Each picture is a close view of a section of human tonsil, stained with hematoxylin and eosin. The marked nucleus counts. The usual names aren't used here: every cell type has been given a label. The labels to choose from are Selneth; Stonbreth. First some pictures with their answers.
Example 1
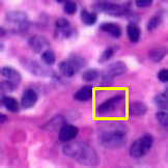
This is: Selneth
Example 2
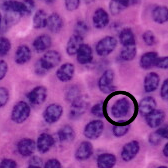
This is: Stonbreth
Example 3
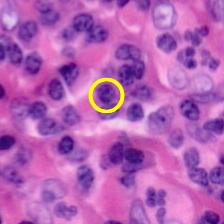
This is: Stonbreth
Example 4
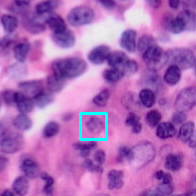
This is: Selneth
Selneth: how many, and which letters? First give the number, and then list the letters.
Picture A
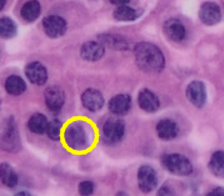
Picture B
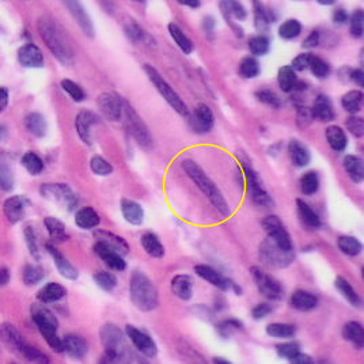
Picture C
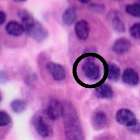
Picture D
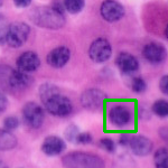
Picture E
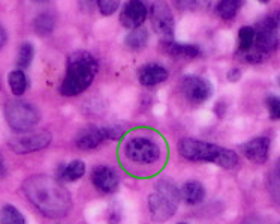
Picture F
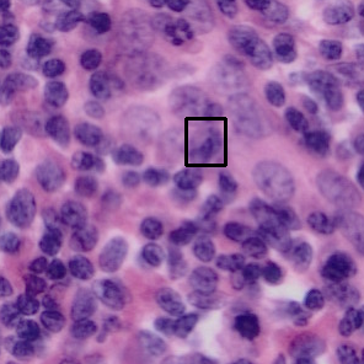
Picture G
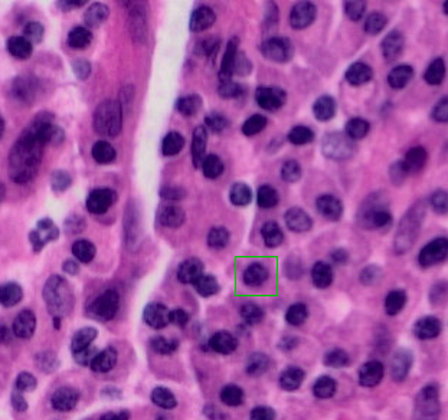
2: B, F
